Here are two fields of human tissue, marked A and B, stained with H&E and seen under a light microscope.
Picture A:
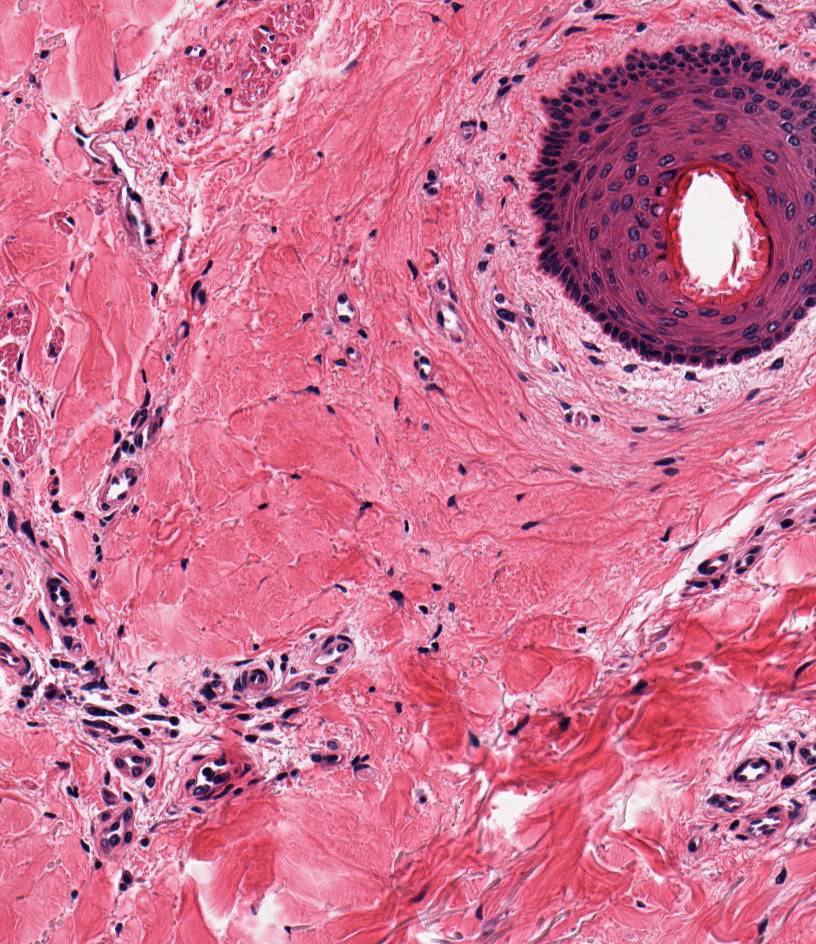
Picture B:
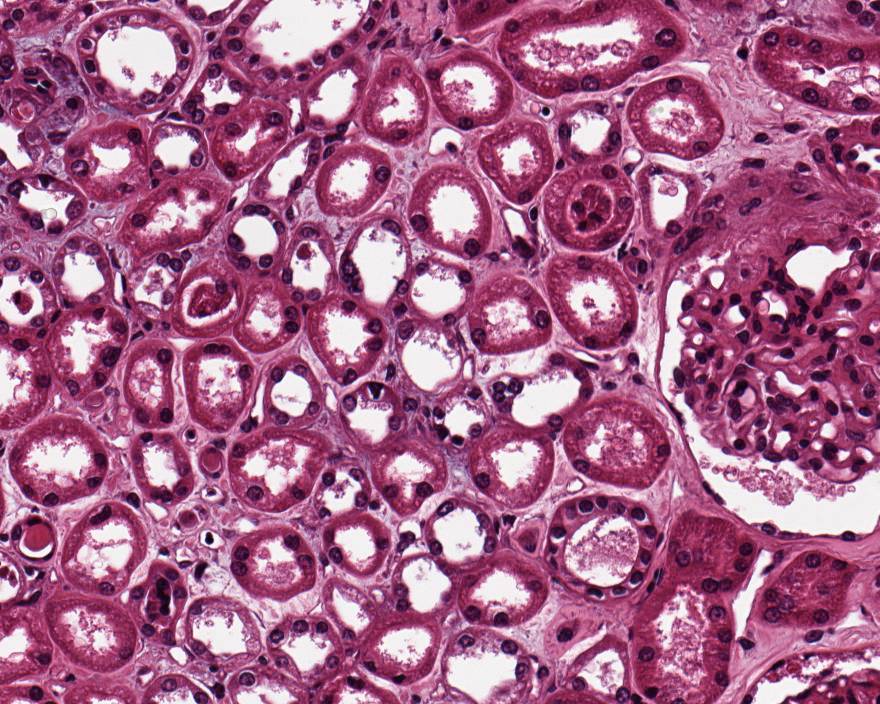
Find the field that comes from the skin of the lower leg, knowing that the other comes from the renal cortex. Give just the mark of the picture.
A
